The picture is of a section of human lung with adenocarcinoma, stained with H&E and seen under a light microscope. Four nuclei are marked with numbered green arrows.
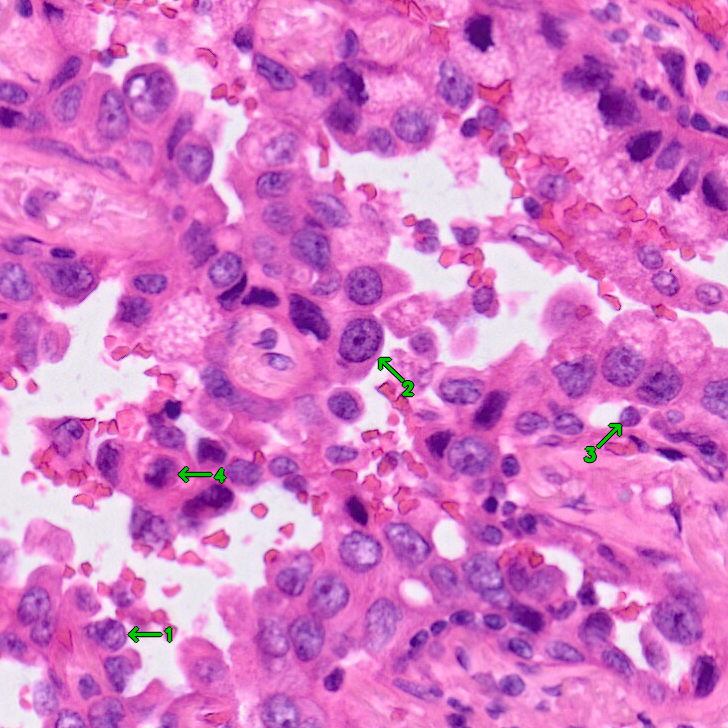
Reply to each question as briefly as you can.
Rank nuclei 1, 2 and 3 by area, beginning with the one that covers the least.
3, 1, 2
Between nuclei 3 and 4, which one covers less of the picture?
3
